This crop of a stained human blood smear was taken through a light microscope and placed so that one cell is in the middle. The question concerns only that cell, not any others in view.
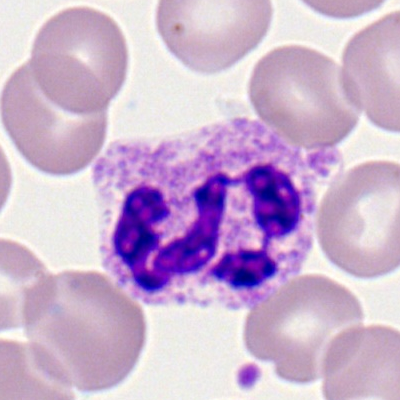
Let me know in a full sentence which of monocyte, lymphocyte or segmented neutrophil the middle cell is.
The cell in the middle of the field of view is a segmented neutrophil.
